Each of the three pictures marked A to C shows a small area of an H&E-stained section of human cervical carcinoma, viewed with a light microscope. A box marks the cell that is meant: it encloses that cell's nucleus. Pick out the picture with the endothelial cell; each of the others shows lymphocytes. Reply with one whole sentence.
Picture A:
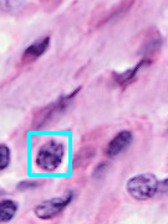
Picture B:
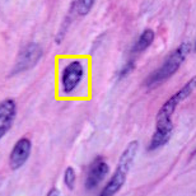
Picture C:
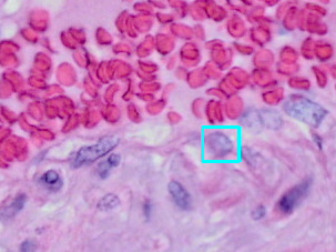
The cell in picture C is the endothelial cell.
